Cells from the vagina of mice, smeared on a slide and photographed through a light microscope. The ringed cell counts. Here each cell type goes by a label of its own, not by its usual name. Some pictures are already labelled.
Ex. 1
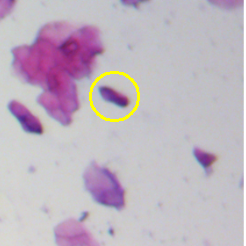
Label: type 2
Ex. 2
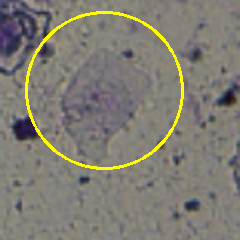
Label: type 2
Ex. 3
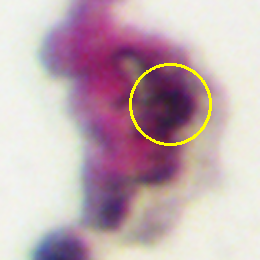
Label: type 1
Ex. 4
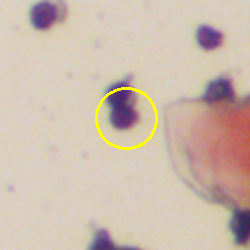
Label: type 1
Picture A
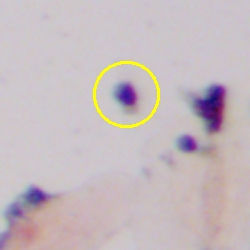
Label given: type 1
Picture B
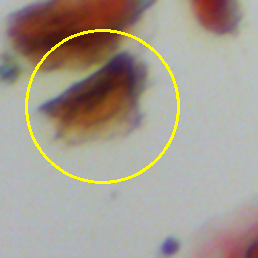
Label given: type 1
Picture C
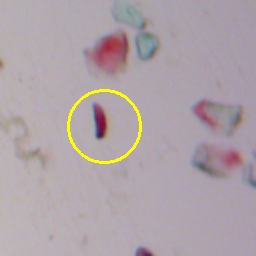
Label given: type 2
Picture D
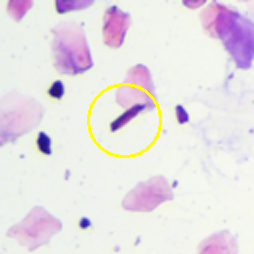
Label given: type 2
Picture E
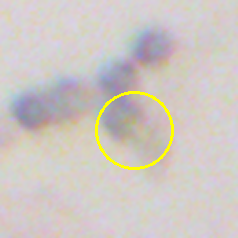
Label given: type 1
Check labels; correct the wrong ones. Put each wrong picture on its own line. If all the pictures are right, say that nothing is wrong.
B: not type 1 but type 2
